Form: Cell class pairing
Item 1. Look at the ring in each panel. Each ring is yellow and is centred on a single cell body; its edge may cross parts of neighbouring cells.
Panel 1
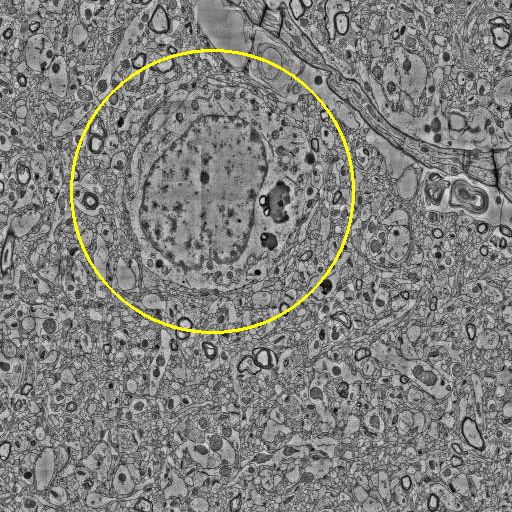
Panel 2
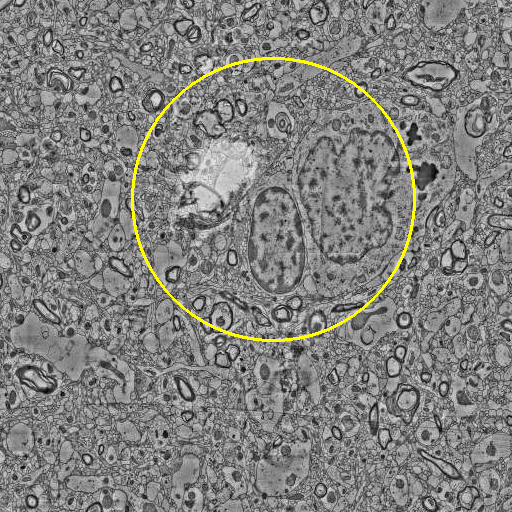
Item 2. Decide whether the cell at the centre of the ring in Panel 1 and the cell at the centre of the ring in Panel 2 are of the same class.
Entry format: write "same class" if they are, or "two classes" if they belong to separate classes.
two classes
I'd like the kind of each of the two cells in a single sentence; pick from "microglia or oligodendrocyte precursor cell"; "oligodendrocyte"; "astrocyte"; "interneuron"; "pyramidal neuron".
The first ring marks an interneuron, and the second ring marks a microglial cell or oligodendrocyte precursor cell.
